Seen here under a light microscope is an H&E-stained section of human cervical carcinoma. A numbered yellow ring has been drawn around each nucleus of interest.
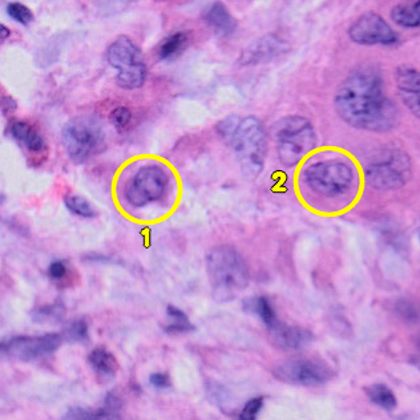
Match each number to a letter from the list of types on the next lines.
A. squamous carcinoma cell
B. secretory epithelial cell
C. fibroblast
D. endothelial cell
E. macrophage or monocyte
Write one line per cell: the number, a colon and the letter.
1: E
2: A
